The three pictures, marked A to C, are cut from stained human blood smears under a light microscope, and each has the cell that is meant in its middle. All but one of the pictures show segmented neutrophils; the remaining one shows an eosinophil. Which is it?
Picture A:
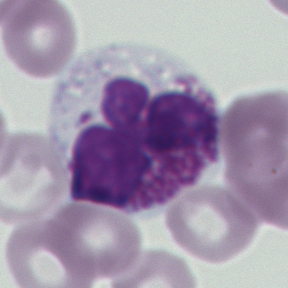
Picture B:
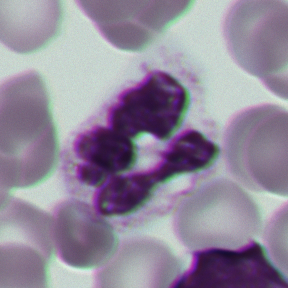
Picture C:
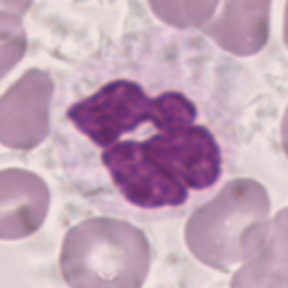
A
